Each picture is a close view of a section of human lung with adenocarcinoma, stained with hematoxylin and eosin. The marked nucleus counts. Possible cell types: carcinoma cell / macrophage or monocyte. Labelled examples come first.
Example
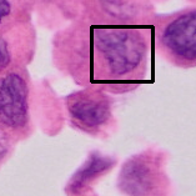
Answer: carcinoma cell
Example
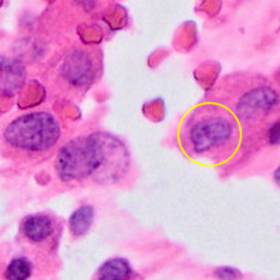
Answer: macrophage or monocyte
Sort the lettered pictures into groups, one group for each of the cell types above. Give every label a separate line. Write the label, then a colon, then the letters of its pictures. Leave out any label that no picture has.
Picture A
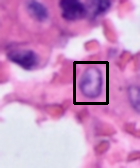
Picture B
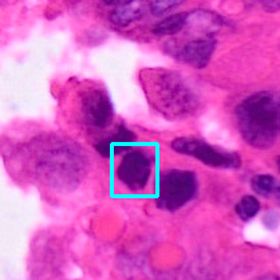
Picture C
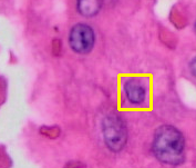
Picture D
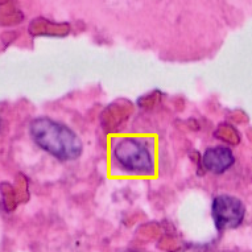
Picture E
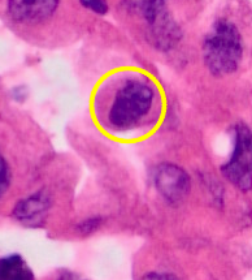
carcinoma cell: B, E
macrophage or monocyte: A, C, D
